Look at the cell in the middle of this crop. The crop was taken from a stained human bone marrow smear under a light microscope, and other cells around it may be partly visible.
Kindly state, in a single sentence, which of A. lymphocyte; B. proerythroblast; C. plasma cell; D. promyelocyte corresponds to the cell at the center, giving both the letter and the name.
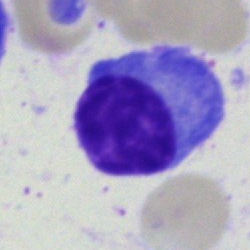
Option C holds up: the cell in the middle is a plasma cell.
